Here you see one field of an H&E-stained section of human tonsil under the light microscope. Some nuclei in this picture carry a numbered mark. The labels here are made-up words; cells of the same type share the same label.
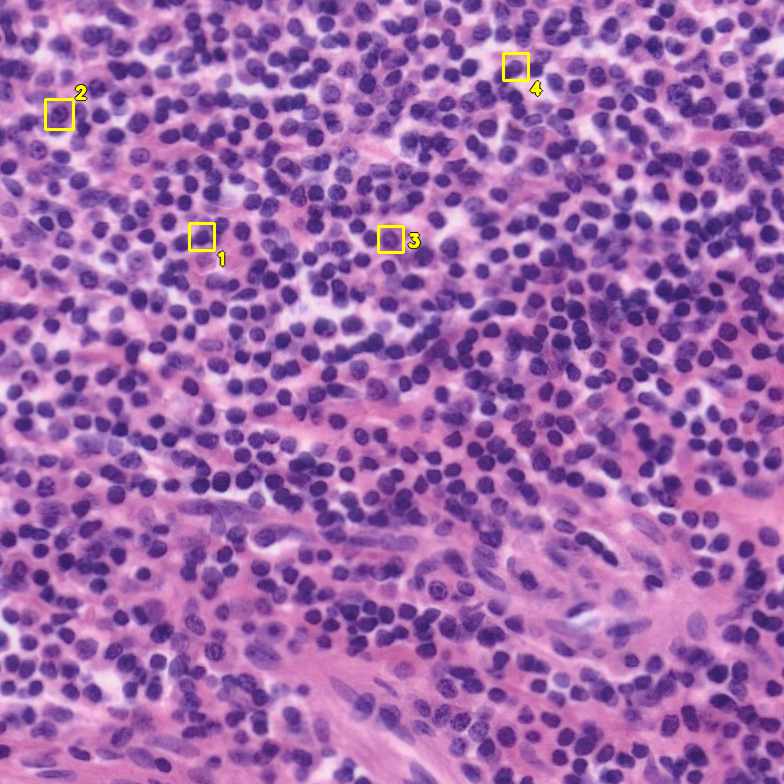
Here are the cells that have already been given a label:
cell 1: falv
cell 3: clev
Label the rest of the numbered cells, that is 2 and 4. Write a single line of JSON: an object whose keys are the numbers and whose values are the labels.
{"2": "clev", "4": "falv"}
